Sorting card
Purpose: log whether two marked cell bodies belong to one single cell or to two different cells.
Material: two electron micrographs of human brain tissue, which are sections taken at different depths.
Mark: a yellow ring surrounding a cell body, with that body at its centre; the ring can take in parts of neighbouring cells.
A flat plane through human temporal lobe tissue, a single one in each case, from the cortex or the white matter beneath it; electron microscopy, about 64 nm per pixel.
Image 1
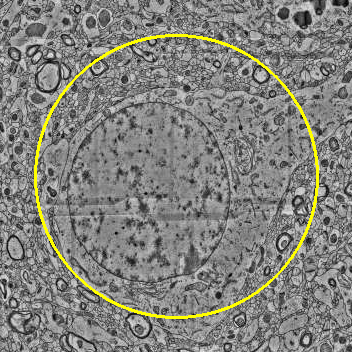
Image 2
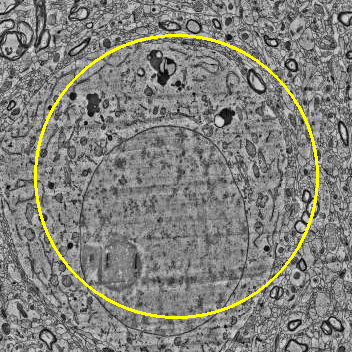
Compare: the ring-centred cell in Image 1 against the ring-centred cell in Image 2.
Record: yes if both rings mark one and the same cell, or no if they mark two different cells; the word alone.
no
